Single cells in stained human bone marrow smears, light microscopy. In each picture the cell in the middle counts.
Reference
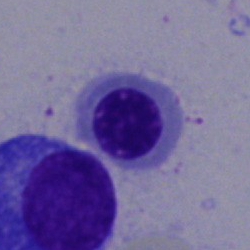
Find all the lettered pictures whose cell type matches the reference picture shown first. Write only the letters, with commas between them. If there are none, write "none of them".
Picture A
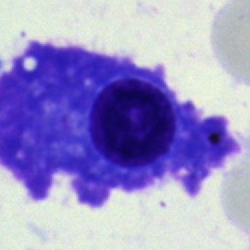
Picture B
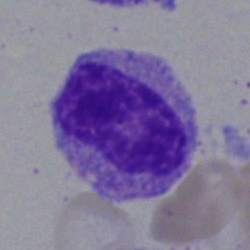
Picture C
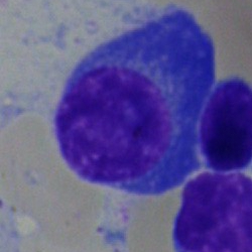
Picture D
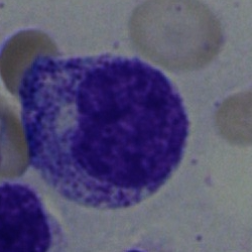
none of them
